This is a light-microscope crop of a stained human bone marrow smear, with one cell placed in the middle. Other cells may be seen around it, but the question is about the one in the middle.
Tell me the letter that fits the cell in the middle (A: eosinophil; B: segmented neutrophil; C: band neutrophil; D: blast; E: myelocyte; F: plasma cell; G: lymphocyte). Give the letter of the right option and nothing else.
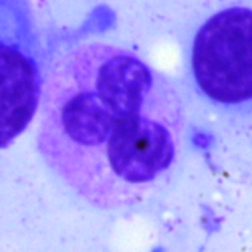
B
